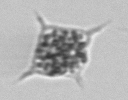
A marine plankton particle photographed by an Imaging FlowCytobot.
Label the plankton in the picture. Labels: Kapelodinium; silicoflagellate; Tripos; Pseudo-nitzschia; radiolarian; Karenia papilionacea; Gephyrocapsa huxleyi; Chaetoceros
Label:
silicoflagellate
